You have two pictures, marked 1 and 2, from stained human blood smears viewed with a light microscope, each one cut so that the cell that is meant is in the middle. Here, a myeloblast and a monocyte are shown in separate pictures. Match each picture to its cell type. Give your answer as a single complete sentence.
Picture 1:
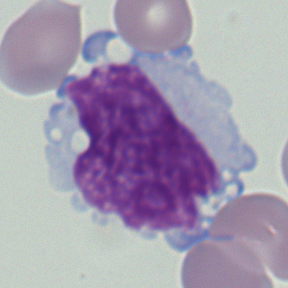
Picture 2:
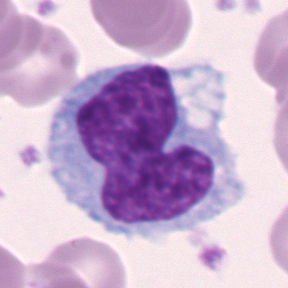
Picture 2 shows a monocyte, while picture 1 shows a myeloblast.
